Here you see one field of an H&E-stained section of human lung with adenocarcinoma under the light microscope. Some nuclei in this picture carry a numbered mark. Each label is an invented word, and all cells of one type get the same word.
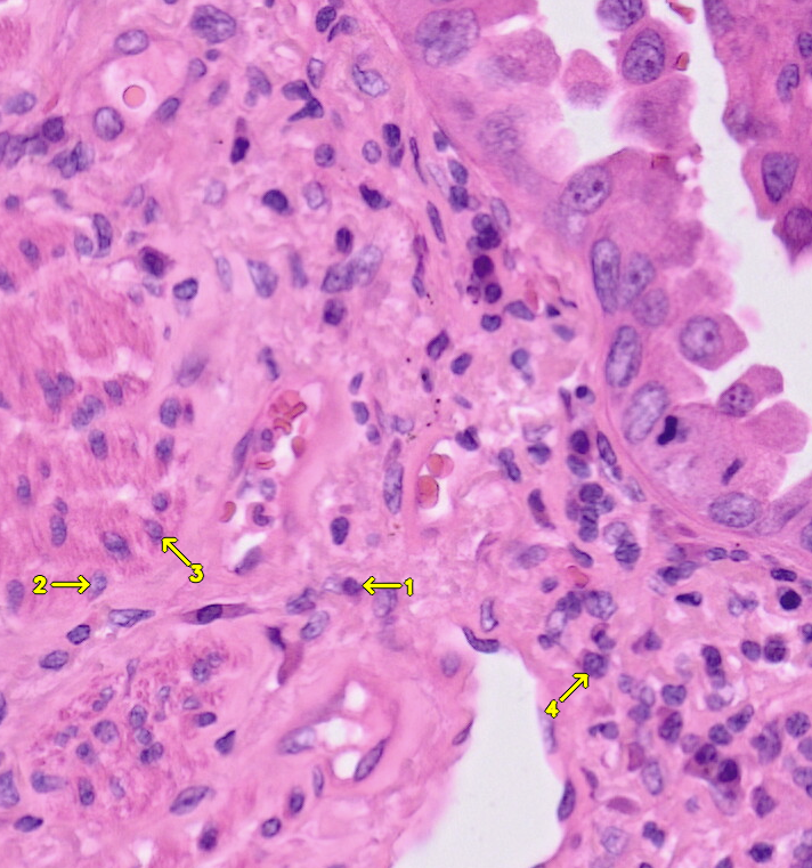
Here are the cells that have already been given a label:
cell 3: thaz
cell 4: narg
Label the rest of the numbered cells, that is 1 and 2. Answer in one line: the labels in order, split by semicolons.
narg; thaz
